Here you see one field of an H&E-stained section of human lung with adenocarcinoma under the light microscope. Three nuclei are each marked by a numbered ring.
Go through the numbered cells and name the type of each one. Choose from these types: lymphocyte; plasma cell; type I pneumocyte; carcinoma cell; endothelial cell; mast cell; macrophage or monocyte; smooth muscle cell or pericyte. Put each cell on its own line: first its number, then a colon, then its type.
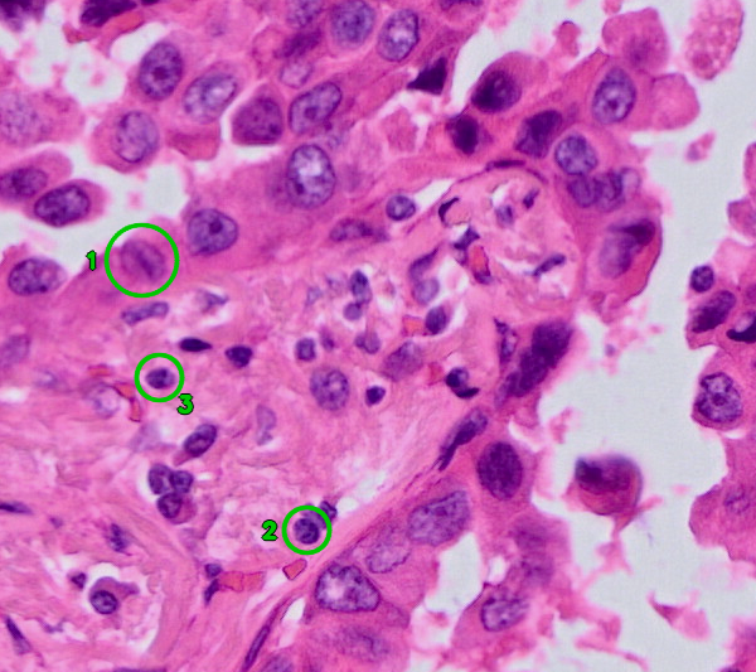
1: carcinoma cell
2: lymphocyte
3: lymphocyte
